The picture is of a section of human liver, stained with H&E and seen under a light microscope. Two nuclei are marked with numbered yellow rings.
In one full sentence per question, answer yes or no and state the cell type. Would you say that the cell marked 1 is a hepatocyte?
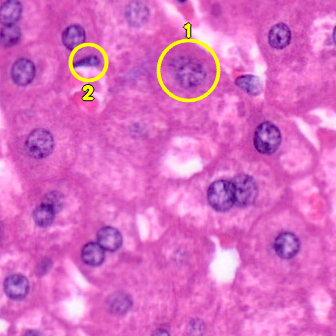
Yes, the cell bearing the number 1 is a hepatocyte.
